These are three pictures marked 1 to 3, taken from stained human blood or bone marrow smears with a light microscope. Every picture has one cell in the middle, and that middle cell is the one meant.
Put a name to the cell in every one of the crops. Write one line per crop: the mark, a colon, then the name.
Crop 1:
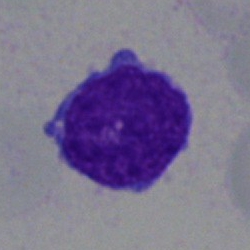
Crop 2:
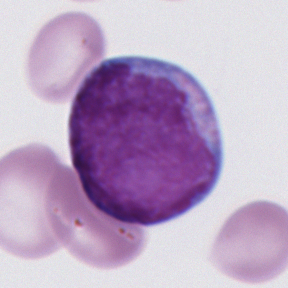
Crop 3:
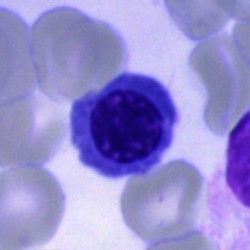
1: blast
2: blast
3: erythroblast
